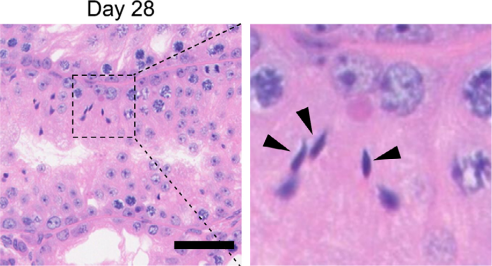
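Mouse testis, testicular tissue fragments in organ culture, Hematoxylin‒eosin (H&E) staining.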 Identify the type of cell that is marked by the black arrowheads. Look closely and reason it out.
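The arrowheads point to small, dark, slender nuclei. On this evidence: elongated spermatids.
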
